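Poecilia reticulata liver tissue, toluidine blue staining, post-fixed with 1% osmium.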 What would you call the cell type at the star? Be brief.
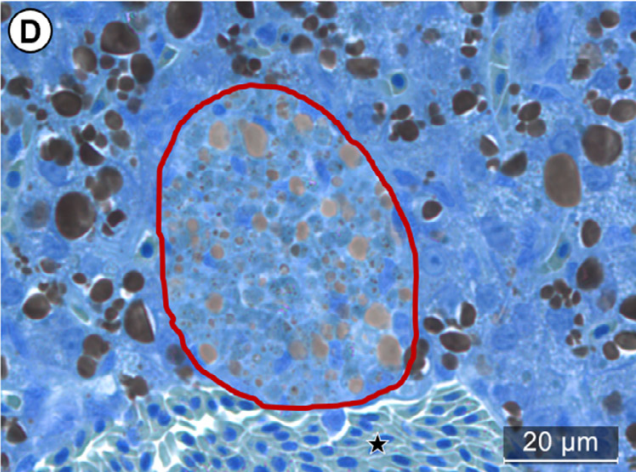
Red blood cells.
